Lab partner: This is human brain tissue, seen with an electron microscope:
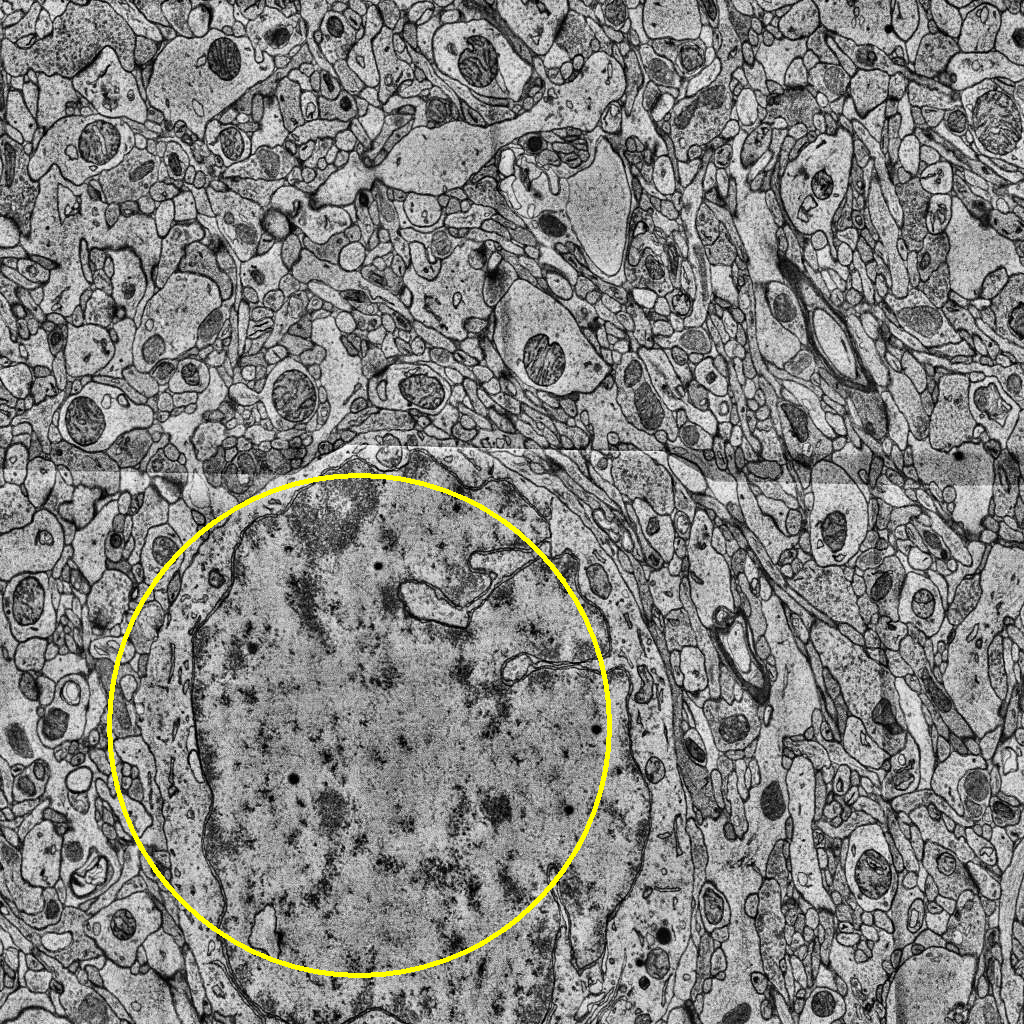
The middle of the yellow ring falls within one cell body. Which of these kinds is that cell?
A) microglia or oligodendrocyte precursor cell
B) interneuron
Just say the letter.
B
